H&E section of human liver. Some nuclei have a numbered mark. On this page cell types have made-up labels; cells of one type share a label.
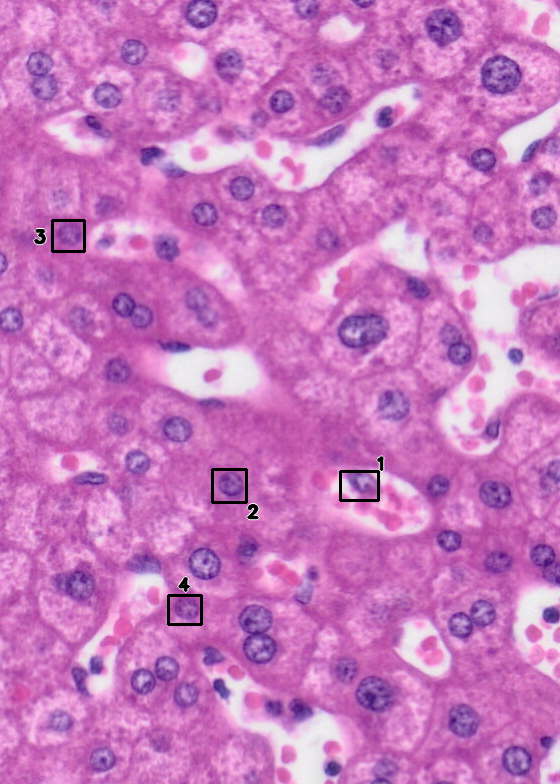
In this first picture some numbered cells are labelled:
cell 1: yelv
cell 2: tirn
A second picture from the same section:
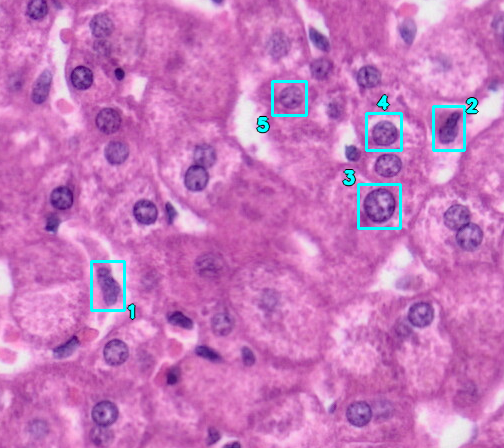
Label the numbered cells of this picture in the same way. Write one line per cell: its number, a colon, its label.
1: yelv
2: yelv
3: tirn
4: tirn
5: tirn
